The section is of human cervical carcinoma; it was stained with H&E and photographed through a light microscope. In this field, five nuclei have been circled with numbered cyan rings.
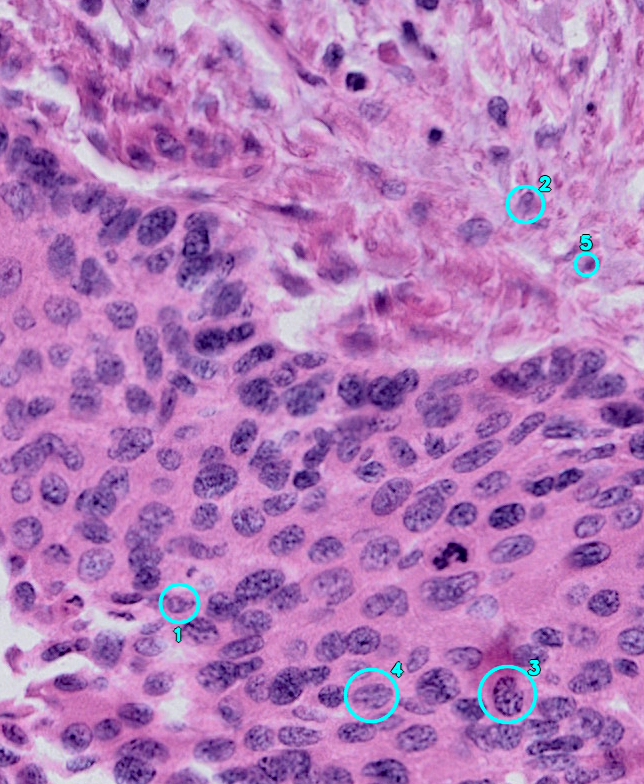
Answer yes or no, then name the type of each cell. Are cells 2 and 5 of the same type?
Yes, both of the cells numbered 2 and 5 are fibroblasts.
